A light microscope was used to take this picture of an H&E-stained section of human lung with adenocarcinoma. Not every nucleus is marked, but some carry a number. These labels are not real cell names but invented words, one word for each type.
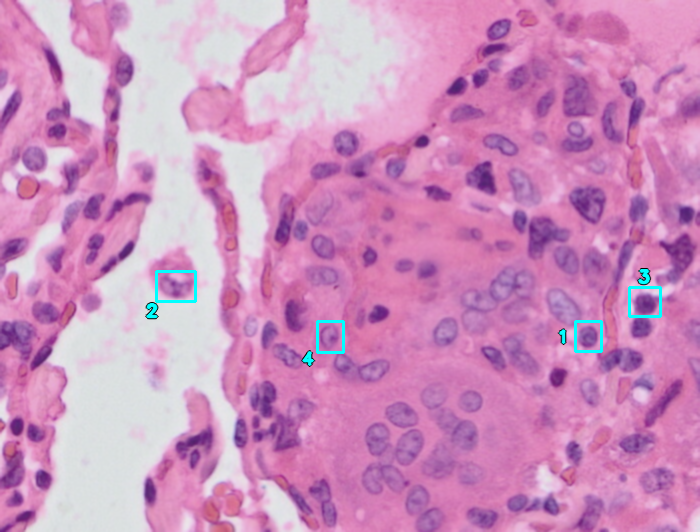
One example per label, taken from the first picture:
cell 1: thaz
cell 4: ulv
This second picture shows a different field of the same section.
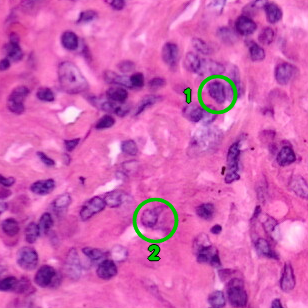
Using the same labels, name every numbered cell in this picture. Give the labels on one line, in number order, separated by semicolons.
thaz; ulv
